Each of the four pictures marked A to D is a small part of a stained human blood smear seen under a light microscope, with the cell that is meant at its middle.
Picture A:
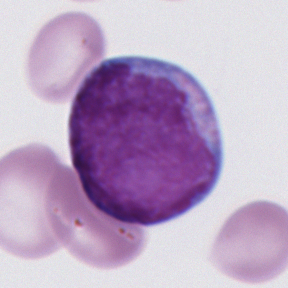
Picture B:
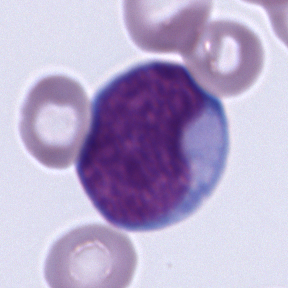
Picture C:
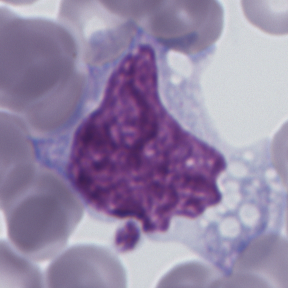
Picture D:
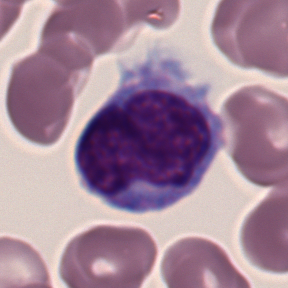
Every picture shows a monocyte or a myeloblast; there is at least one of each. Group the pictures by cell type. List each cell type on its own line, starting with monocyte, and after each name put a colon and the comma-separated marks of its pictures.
monocyte: C, D
myeloblast: A, B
